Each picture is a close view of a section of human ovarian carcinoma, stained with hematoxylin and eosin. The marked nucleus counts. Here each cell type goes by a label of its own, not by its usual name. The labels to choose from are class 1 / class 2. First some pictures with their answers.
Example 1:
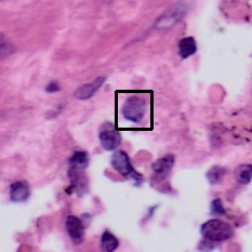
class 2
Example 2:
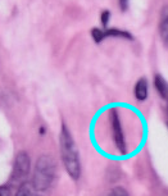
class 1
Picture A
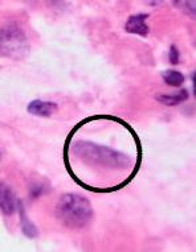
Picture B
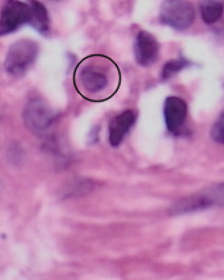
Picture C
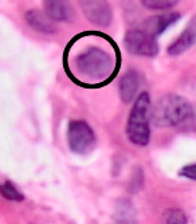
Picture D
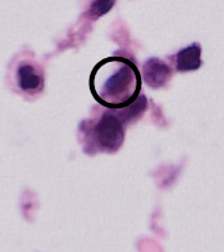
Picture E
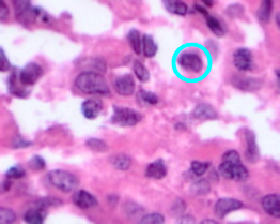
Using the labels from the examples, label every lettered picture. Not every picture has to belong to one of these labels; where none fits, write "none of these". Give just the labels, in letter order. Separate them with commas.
class 1, class 2, none of these, none of these, none of these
